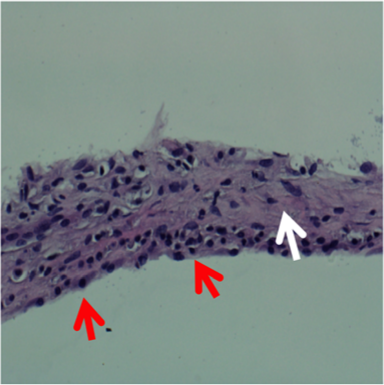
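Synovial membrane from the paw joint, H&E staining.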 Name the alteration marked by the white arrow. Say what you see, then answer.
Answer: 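The arrow points into a pale pink fibrillar area within the band of tissue. Elongated nuclei lie among the fibres there.
Answer: fibrous tissue growth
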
